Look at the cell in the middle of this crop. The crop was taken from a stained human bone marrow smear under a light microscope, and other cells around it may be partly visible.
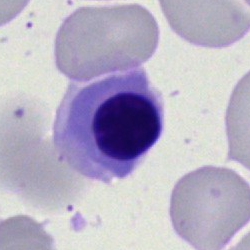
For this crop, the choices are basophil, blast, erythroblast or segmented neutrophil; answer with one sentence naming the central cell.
Whatever else lies nearby, the middle cell is an erythroblast.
